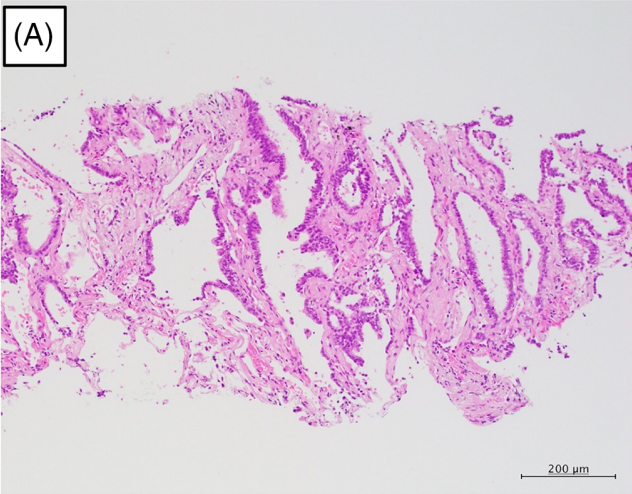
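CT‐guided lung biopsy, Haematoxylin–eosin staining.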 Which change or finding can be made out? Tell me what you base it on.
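Proliferating invasively. Gland-like structures of atypical cells spread across the whole core. They lie within pale pink fibrous stroma.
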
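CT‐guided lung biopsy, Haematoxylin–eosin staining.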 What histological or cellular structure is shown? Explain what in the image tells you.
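Cells line elongated, angulated and branching open spaces. The spaces are irregular in outline rather than round.
Conclusion: irregularly shaped lumens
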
